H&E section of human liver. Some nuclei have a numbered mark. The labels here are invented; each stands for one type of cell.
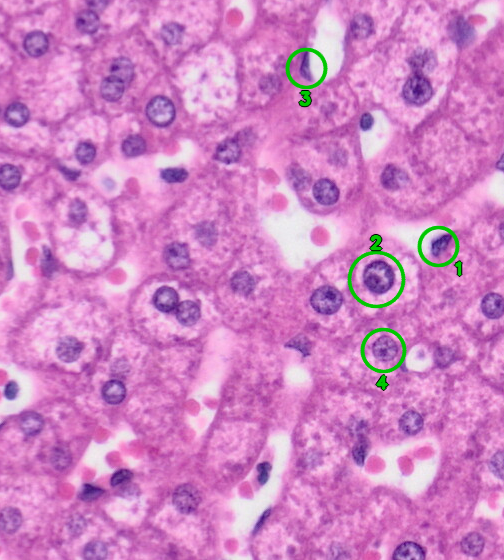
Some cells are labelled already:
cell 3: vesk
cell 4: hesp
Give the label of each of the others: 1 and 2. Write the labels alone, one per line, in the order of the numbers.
vesk
hesp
